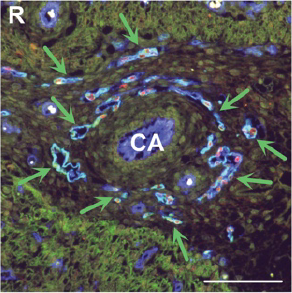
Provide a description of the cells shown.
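Around the artery lie many small, thin-walled vessels with narrow, irregular or collapsed lumens, outlined by blue-stained lining cells, some with red nuclei. The surrounding tissue stains mostly green with scattered nuclei.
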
